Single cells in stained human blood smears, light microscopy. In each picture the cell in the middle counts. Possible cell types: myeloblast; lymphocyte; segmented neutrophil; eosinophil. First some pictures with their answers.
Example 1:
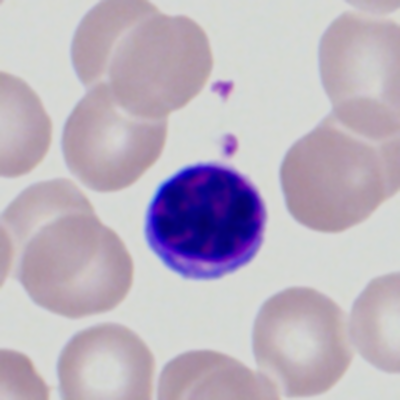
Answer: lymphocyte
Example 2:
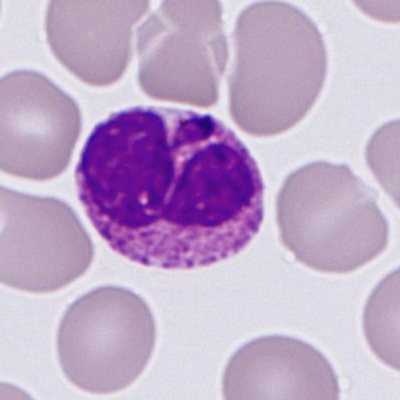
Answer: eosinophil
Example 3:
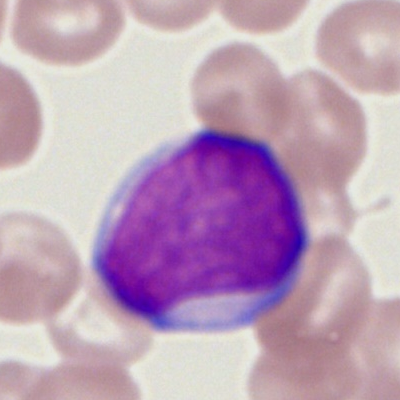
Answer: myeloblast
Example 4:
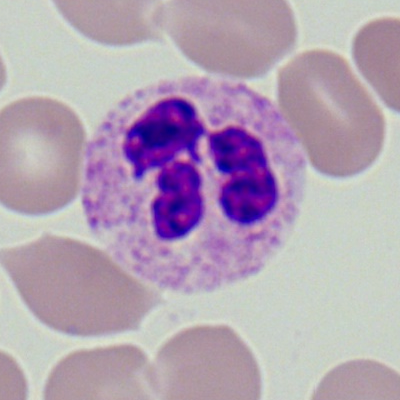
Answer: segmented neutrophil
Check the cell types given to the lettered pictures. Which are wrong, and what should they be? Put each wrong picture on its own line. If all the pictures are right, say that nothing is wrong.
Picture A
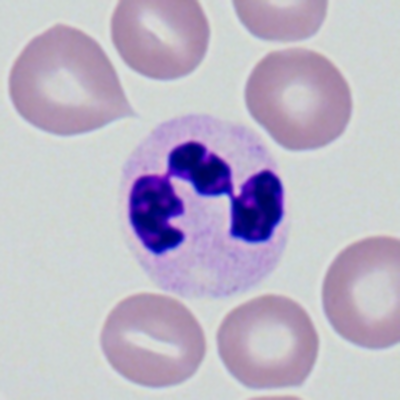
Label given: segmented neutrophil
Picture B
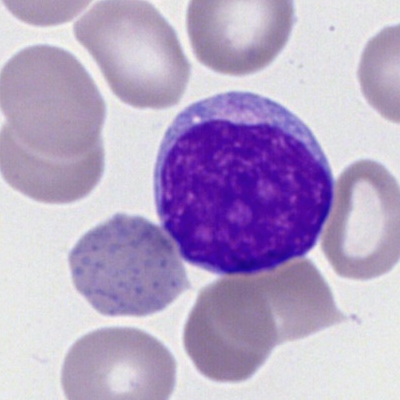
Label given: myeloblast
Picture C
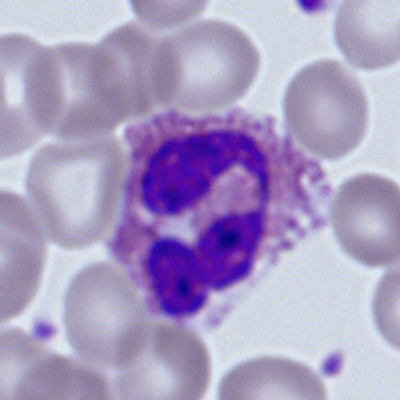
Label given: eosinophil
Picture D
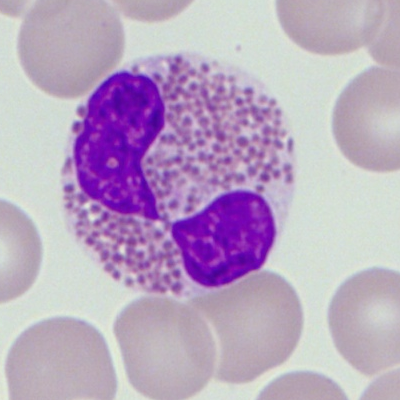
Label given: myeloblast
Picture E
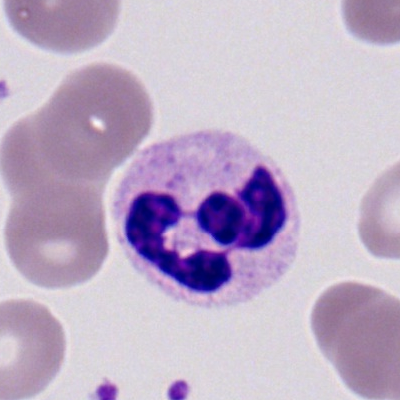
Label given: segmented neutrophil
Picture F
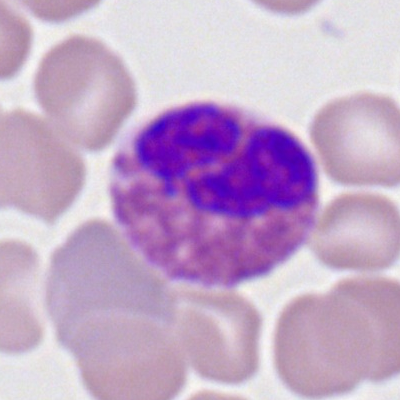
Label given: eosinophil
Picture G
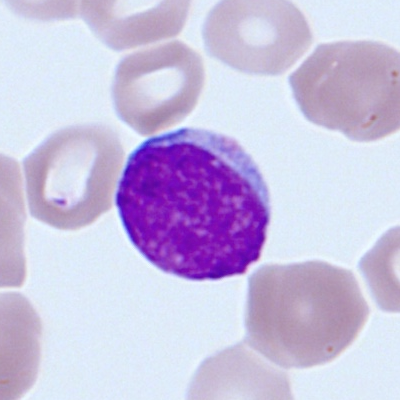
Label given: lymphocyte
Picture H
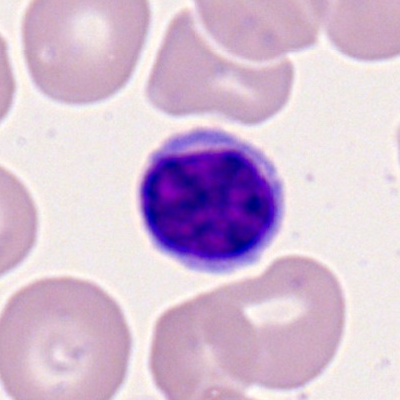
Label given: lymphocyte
D: eosinophil, not myeloblast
